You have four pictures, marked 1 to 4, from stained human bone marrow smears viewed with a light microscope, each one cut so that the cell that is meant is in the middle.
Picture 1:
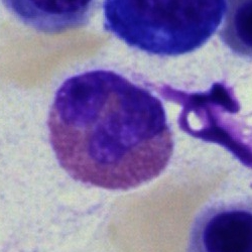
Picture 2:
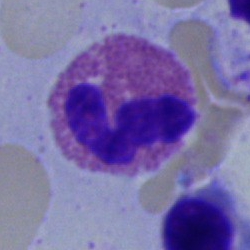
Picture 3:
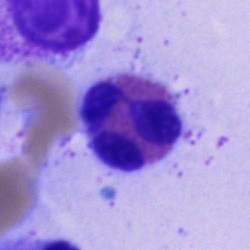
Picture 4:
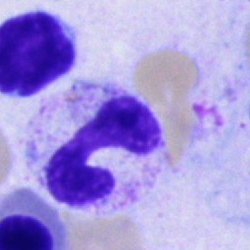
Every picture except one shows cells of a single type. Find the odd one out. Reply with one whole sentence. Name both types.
The different one is picture 4; it shows a segmented neutrophil, whereas all the others show eosinophils.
